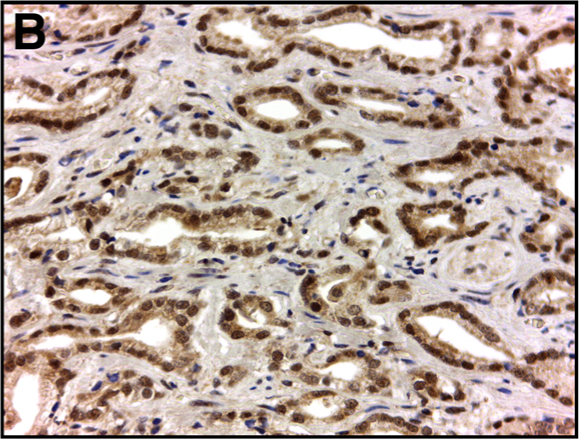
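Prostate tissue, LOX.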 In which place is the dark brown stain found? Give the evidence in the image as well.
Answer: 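The round nuclei of the gland-lining cells are dark brown. The cytoplasm is paler than the nuclei.
Conclusion: nuclear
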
